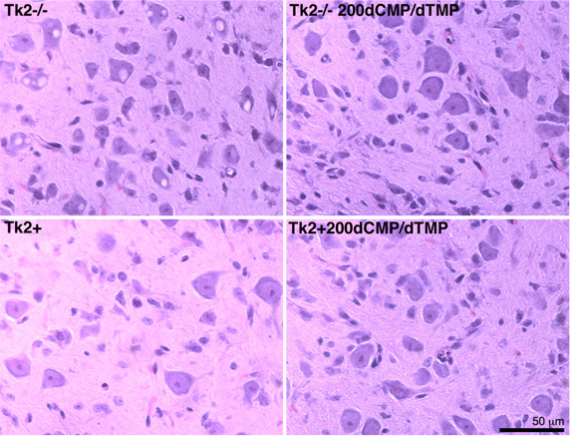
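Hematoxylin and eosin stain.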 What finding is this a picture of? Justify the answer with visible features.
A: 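In the upper left image, several neuronal cell bodies contain round clear spaces. The clear spaces are sharply outlined and lie within the purple cytoplasm. The other three images show neurons without such clear spaces. On this evidence: vacuoles.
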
